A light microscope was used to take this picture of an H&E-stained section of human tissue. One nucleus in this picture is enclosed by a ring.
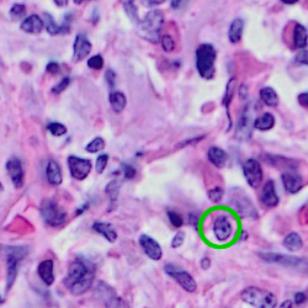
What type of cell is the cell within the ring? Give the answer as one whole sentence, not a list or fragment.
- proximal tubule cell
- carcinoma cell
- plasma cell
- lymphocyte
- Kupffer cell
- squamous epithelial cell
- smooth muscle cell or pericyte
Considered by cell type, the cell within the ring is a lymphocyte.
